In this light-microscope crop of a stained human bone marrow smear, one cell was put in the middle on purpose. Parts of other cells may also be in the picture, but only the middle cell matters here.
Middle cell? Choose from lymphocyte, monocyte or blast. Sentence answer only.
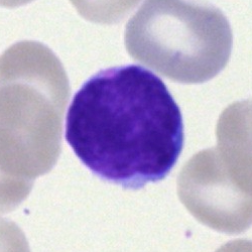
The cell shown in the center of this light-microscope crop is a lymphocyte.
